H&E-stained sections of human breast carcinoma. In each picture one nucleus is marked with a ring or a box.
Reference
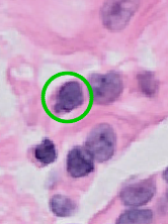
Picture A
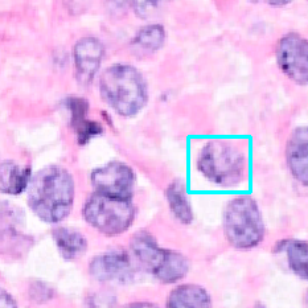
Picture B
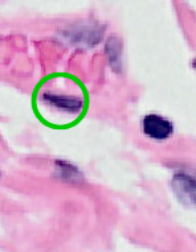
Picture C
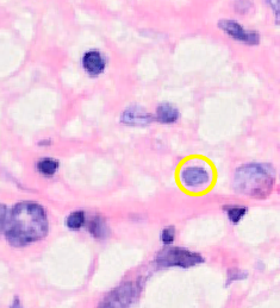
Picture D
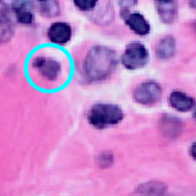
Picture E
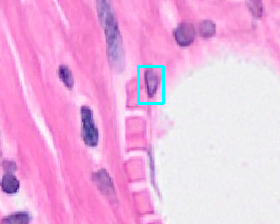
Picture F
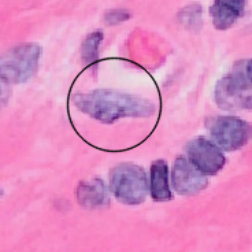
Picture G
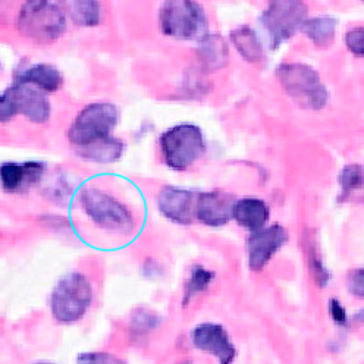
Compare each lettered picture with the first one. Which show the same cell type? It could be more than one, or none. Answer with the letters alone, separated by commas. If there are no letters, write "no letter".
A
